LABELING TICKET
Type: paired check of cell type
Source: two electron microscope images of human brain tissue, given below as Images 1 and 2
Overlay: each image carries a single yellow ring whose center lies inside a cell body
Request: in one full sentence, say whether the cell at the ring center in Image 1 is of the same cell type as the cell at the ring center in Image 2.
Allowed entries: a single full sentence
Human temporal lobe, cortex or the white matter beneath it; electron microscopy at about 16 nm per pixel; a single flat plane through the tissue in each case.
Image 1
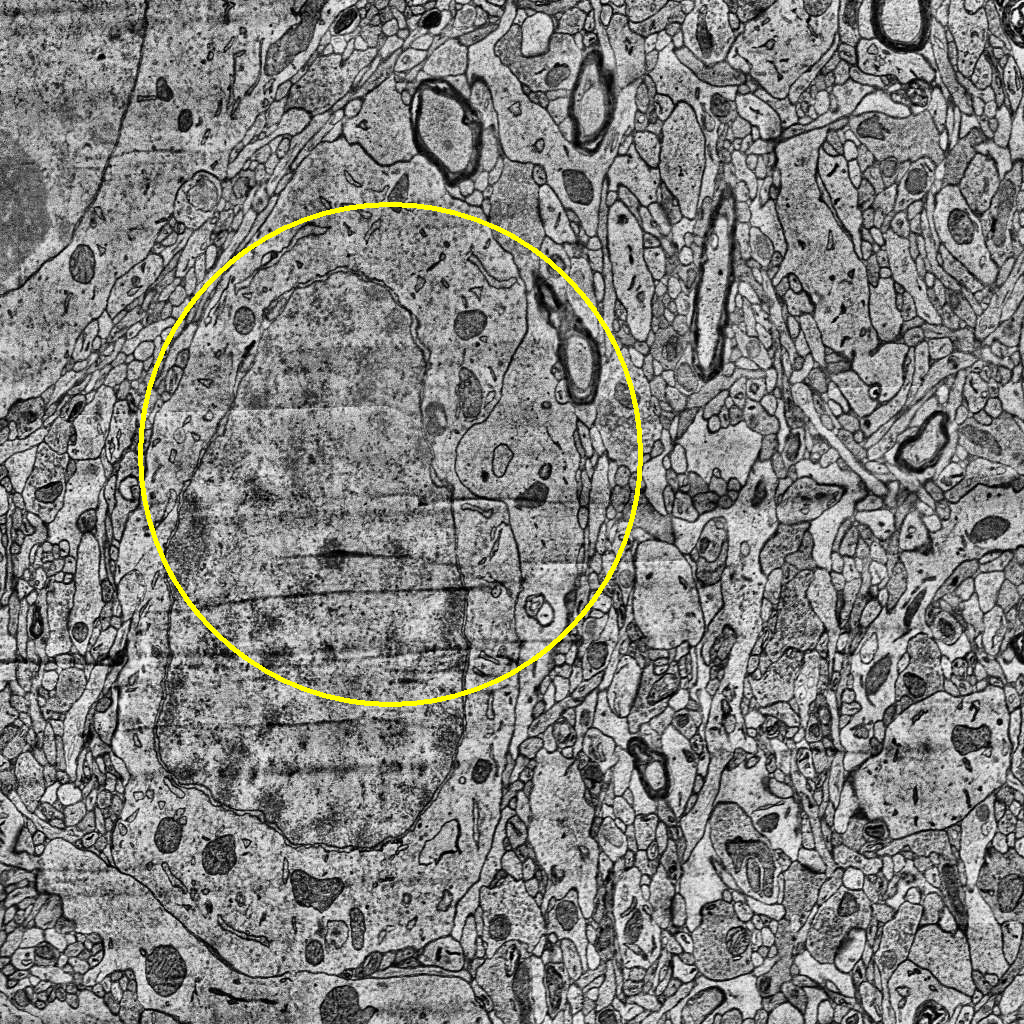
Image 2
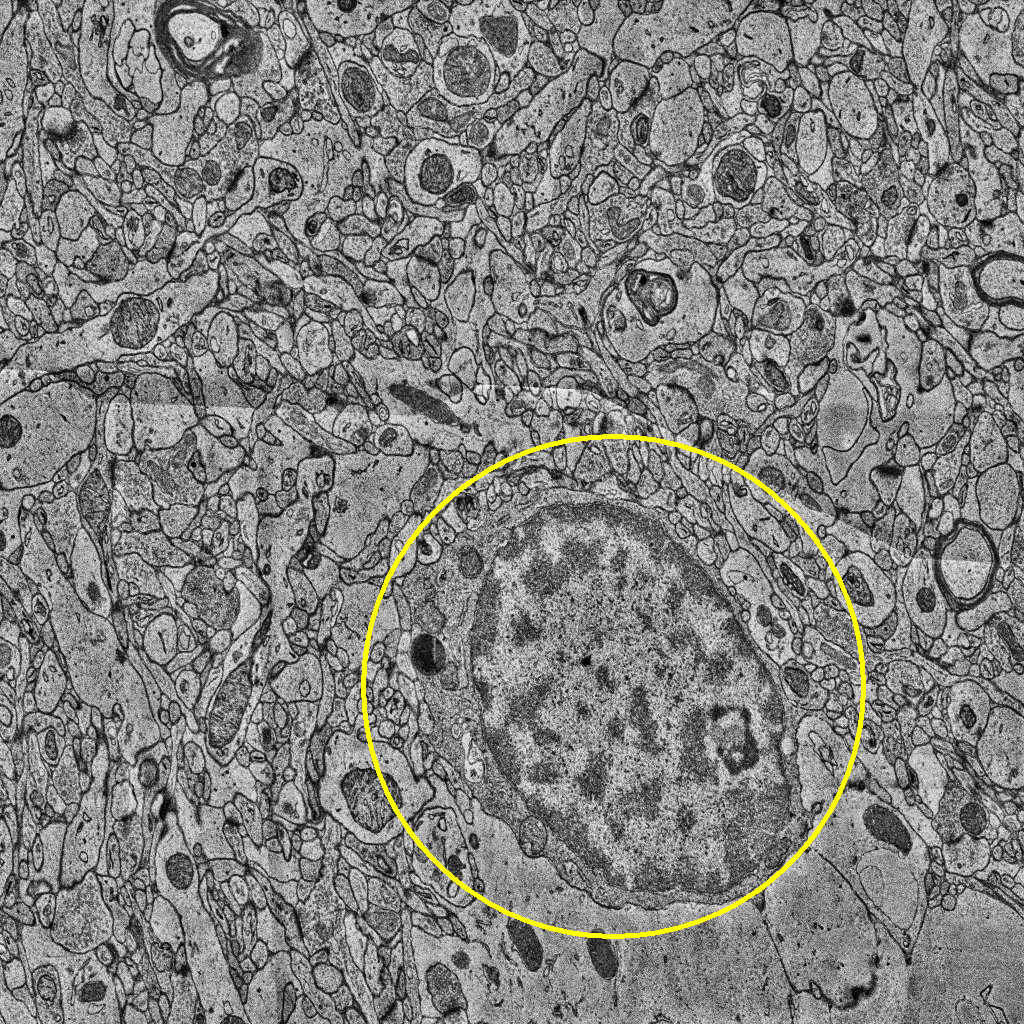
No, the cells at the ring centers of Image 1 and Image 2 are of two types.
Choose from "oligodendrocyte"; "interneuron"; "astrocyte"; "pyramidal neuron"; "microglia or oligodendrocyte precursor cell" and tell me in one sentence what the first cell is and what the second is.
In the first picture it is an interneuron; in the second it is an oligodendrocyte.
